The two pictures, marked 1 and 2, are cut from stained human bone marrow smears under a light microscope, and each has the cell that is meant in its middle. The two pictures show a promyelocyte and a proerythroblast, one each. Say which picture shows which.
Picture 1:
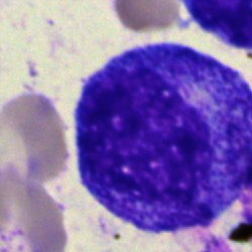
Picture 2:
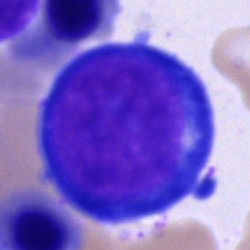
1: promyelocyte
2: proerythroblast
